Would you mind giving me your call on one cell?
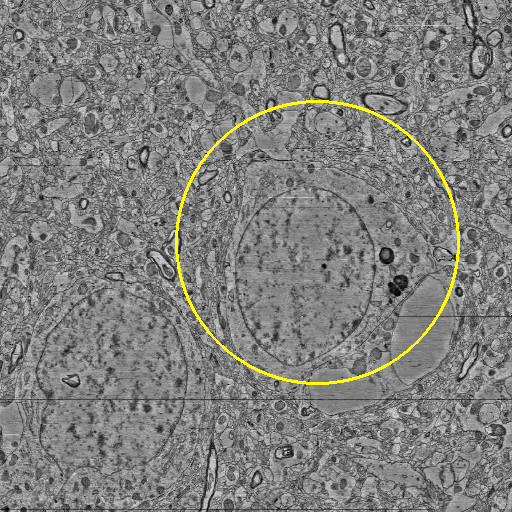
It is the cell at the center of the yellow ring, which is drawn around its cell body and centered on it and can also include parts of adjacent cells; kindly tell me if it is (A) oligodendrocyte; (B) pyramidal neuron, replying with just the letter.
B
